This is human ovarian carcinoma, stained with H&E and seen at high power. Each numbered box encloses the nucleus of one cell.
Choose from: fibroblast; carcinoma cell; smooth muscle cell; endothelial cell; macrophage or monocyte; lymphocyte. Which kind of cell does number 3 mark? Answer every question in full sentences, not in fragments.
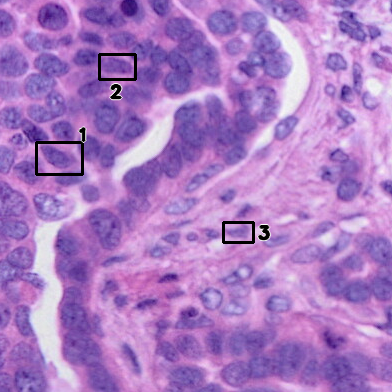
Recognised here as a fibroblast is the cell numbered 3.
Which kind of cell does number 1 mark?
The one labeled 1 is a carcinoma cell, to put it simply.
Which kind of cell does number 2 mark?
The marked cell with the number 2 is recognised as a carcinoma cell.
